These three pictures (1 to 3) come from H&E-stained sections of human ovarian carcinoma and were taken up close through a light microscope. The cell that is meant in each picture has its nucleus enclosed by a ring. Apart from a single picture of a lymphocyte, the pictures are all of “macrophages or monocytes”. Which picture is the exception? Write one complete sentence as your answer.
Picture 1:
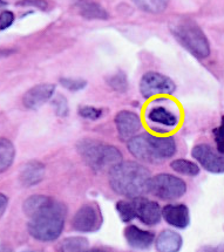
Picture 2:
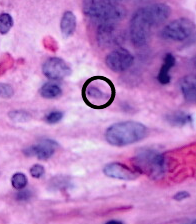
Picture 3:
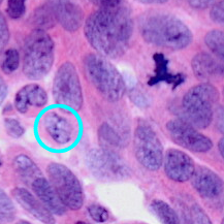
It is picture 1 that shows the lymphocyte.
